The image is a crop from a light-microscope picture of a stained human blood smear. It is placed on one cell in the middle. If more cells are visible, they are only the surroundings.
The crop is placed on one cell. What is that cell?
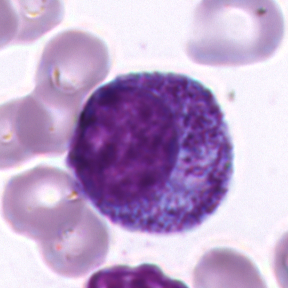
promyelocyte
